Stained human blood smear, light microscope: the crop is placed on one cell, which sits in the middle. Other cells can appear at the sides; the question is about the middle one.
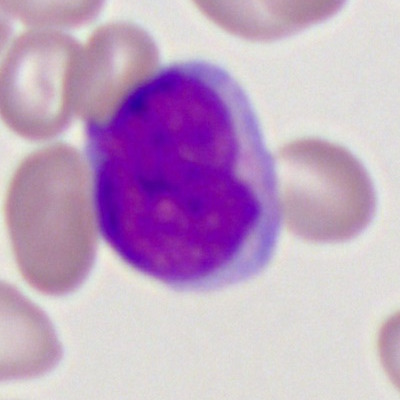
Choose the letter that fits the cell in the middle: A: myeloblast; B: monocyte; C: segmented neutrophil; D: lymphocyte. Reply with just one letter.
A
